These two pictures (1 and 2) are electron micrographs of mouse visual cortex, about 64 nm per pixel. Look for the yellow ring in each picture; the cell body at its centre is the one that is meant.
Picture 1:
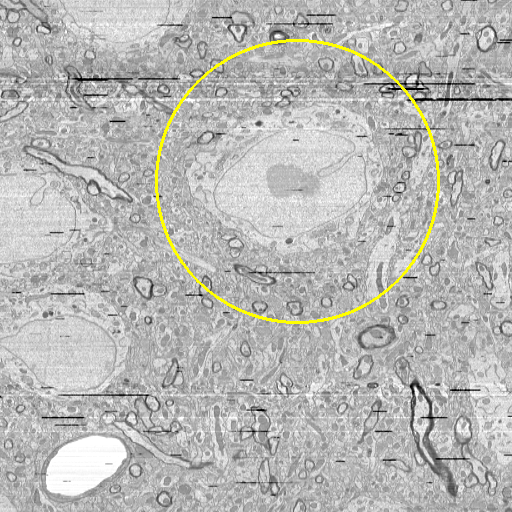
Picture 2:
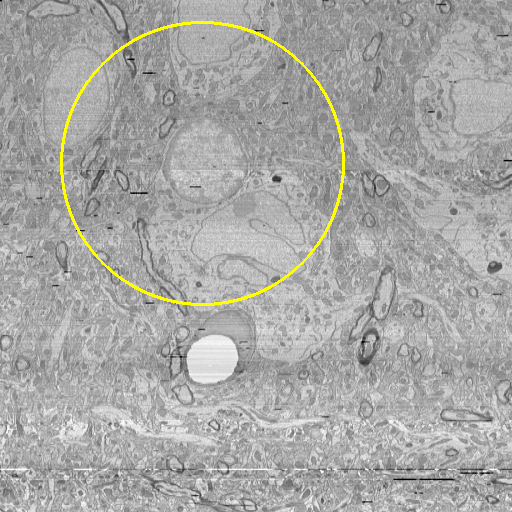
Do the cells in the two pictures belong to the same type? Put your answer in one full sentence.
No, the types are not the same, since picture 1 shows an excitatory neuron and picture 2 an oligodendrocyte.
